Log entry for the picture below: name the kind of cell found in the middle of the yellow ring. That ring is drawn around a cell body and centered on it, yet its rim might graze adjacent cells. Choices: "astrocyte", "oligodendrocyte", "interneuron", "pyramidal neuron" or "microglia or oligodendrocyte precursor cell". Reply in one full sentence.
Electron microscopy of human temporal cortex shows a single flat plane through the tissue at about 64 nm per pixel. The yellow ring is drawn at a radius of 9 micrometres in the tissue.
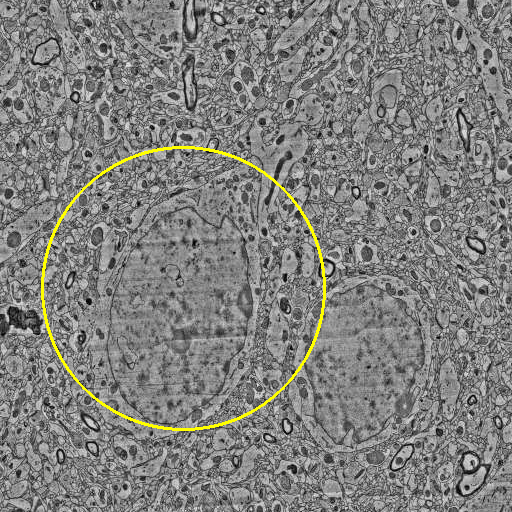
The cell in the middle of the yellow ring in this picture is an interneuron.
